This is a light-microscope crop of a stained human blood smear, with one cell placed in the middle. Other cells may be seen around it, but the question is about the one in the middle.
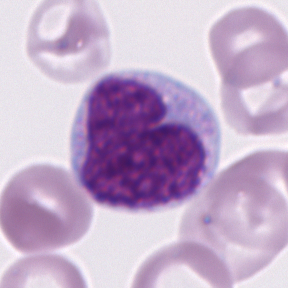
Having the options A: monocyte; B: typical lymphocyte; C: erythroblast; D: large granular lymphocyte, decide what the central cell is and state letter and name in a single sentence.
The central cell in this crop is a monocyte, so the correct choice is option A.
